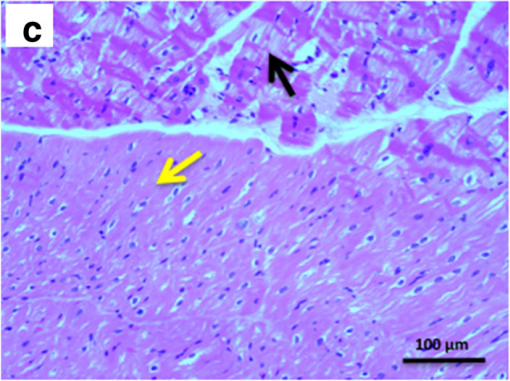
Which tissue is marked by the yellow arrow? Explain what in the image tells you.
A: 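Normal myocardium. Below the cleft the muscle fibres are evenly pink and aligned.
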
